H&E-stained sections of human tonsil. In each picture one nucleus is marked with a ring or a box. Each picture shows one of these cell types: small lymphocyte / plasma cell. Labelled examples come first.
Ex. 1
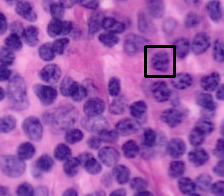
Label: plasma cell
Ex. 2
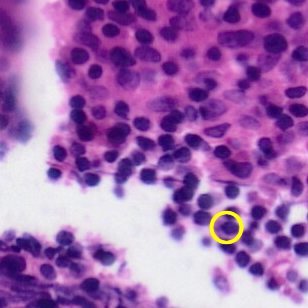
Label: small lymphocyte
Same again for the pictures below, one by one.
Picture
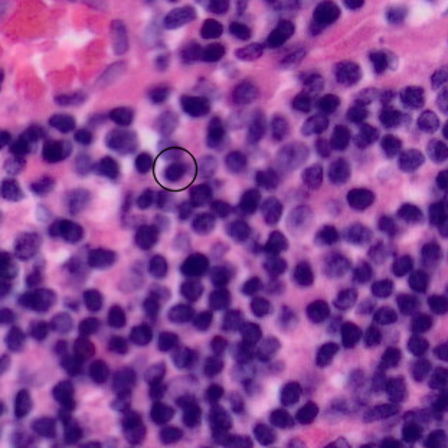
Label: small lymphocyte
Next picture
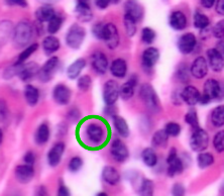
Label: plasma cell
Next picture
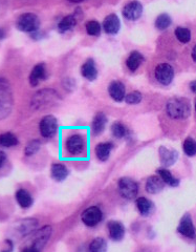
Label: plasma cell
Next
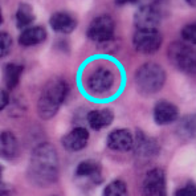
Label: plasma cell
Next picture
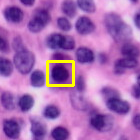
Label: plasma cell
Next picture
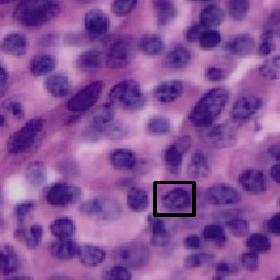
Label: plasma cell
